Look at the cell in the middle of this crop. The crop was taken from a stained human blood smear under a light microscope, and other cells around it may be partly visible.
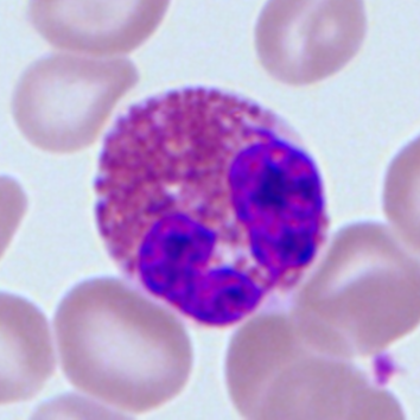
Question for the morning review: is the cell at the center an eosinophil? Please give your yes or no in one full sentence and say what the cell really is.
Yes, the middle cell in this crop is an eosinophil.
